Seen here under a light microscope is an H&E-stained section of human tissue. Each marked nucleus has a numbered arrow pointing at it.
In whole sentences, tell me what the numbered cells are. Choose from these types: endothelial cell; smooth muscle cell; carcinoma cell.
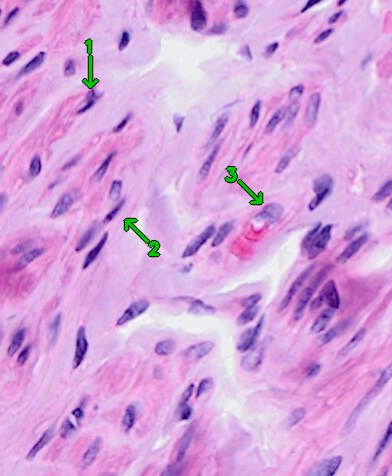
Cell 1 is a smooth muscle cell, cell 2 is a smooth muscle cell and cell 3 is an endothelial cell.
